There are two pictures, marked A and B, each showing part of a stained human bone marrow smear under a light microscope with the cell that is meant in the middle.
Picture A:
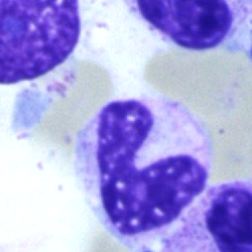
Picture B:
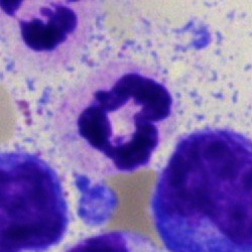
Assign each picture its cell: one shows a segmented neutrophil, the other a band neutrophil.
A: band neutrophil
B: segmented neutrophil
